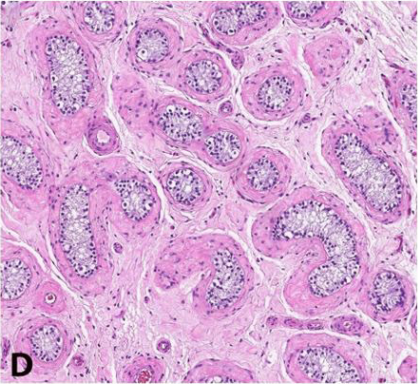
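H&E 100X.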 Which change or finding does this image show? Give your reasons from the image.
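Each tubule is ringed by a broad, glassy pink collar. Loose pink stroma lies between the collared tubules. That points to this answer: hyalinization / fibrosis surrounding the seminiferous tubules.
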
